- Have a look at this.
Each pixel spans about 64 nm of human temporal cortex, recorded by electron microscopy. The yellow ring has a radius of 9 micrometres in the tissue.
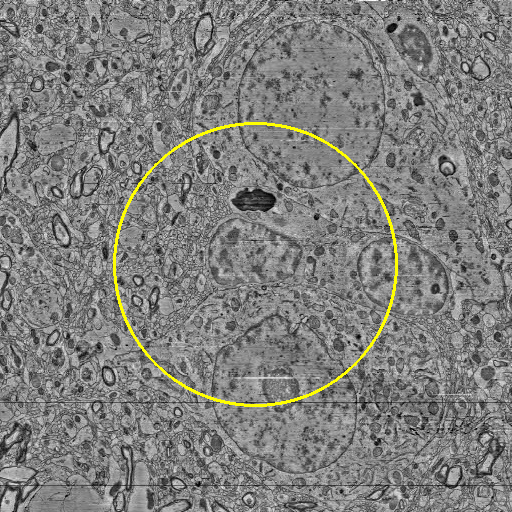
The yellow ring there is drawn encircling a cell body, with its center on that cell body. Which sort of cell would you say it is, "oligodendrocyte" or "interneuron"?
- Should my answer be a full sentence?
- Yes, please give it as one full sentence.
For this picture, an oligodendrocyte is the cell where the yellow ring has its center.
